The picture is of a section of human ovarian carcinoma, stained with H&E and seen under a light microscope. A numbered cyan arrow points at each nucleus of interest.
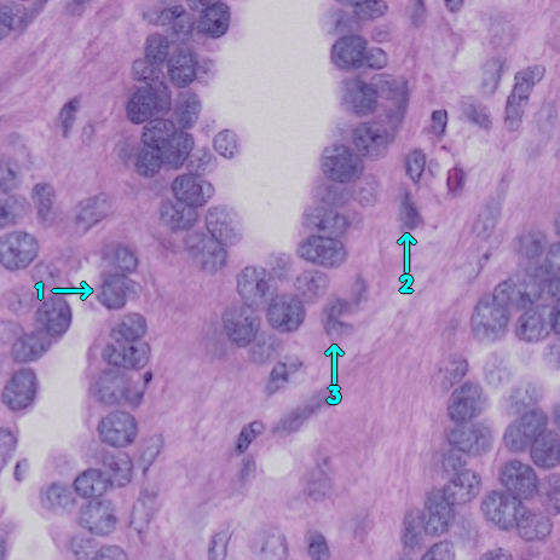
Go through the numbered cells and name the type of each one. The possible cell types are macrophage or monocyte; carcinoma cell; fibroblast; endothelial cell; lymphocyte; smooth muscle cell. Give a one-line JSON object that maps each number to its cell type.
{"1": "carcinoma cell", "2": "fibroblast", "3": "fibroblast"}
